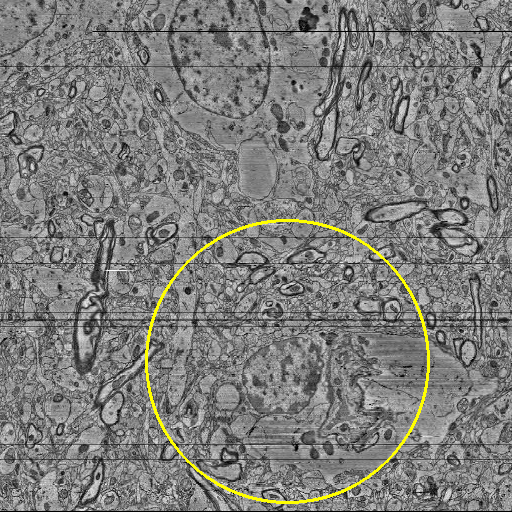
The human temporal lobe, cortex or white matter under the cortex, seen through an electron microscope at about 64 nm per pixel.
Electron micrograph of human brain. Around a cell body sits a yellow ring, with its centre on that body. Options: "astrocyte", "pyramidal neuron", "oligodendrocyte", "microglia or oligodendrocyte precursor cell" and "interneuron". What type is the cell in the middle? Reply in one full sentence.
The cell sitting at the centre of the yellow ring is a microglial cell or oligodendrocyte precursor cell.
